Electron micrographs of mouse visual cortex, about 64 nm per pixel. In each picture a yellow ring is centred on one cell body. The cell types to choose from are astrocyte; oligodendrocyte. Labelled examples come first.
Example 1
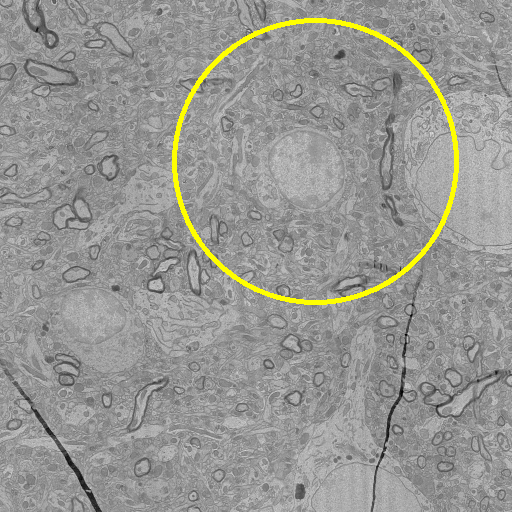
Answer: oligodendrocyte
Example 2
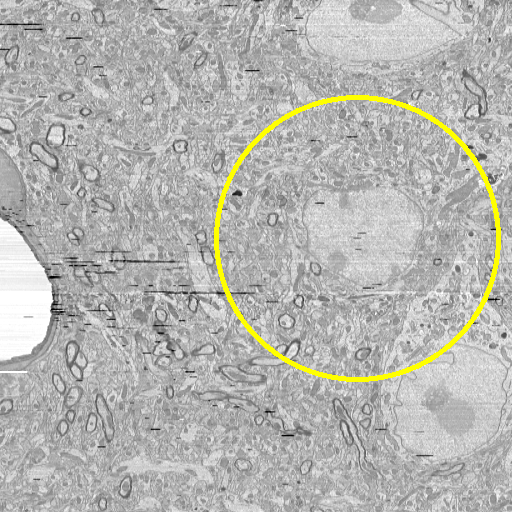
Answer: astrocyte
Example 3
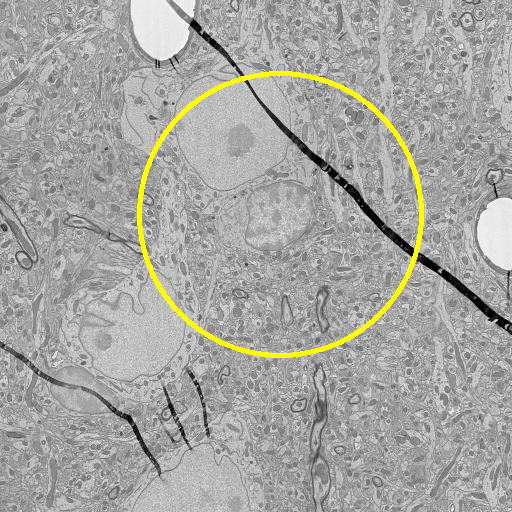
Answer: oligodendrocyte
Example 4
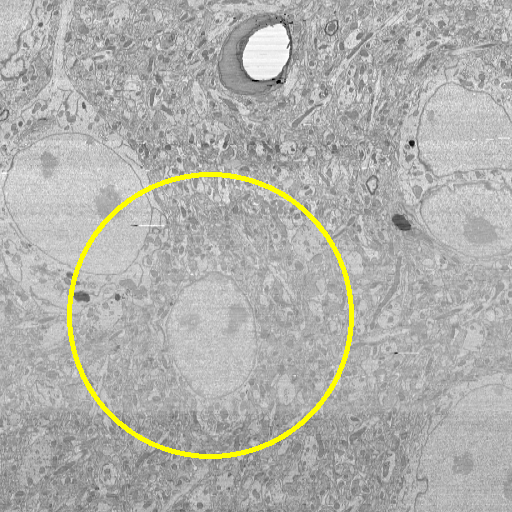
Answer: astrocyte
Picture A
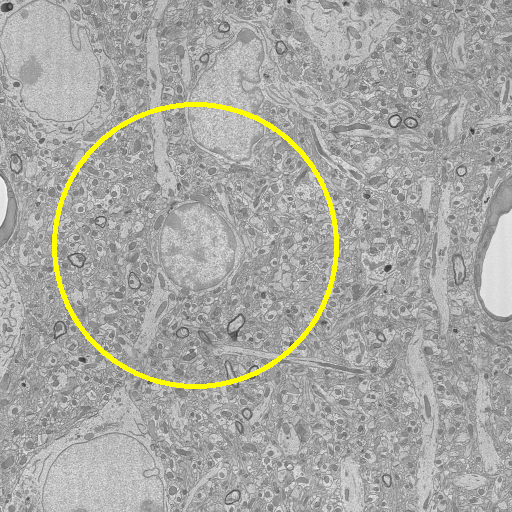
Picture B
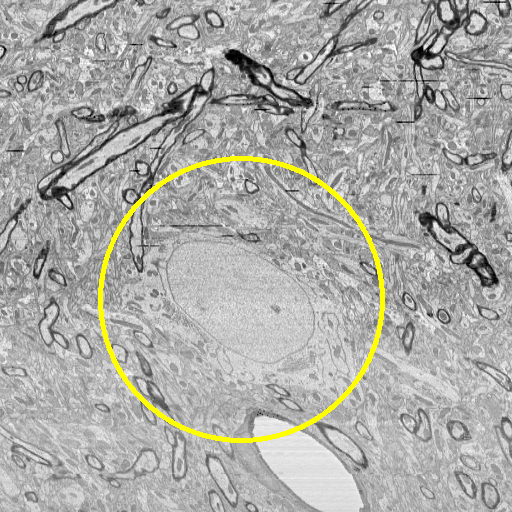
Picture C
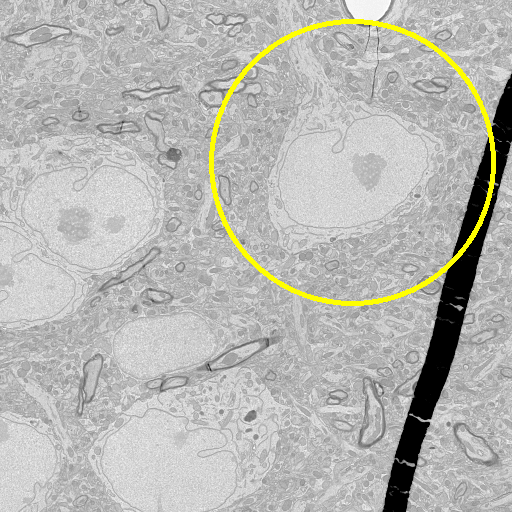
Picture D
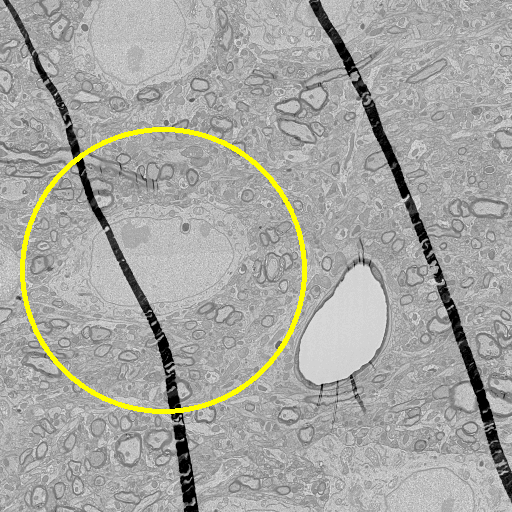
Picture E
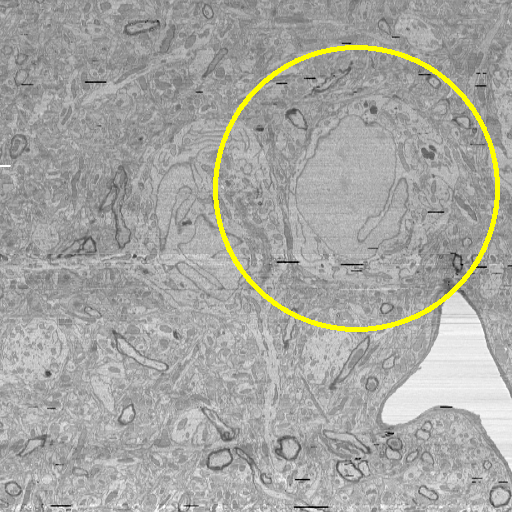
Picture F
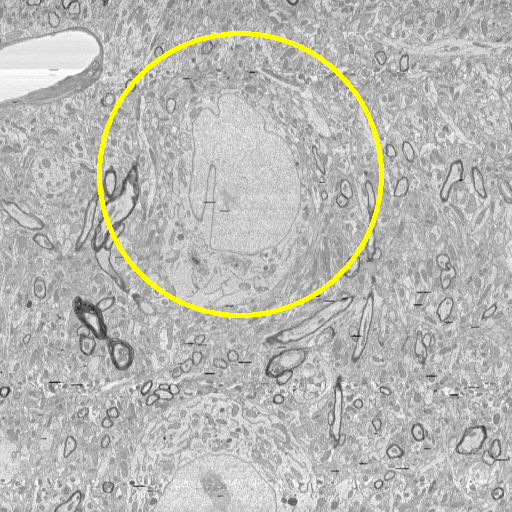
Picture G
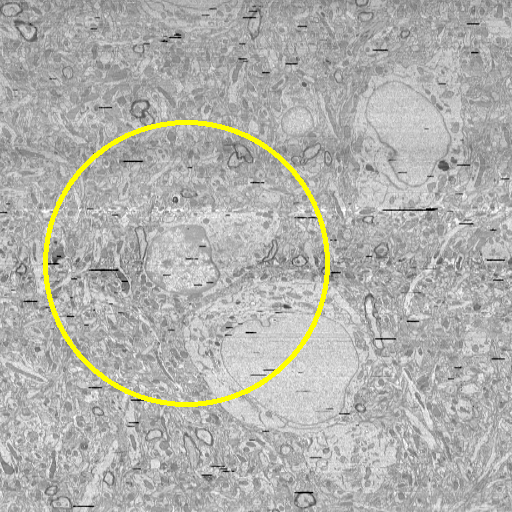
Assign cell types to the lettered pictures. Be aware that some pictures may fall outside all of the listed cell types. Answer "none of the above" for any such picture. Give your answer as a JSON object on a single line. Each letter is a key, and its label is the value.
{"A": "oligodendrocyte", "B": "none of the above", "C": "none of the above", "D": "none of the above", "E": "none of the above", "F": "none of the above", "G": "oligodendrocyte"}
